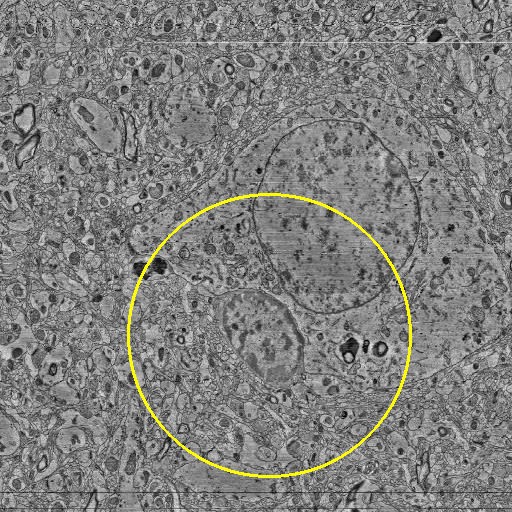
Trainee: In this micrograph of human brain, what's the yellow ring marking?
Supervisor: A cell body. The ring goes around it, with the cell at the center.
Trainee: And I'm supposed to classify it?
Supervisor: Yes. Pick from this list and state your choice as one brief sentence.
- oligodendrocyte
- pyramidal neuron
The cell at the ring's center is an oligodendrocyte.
